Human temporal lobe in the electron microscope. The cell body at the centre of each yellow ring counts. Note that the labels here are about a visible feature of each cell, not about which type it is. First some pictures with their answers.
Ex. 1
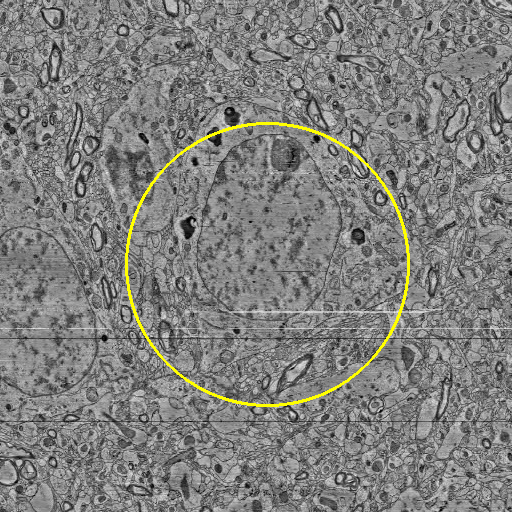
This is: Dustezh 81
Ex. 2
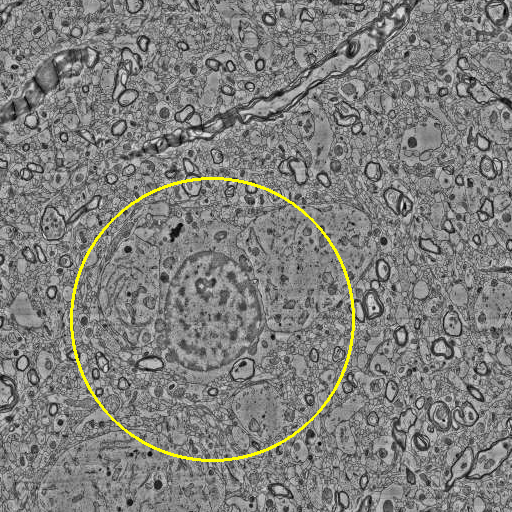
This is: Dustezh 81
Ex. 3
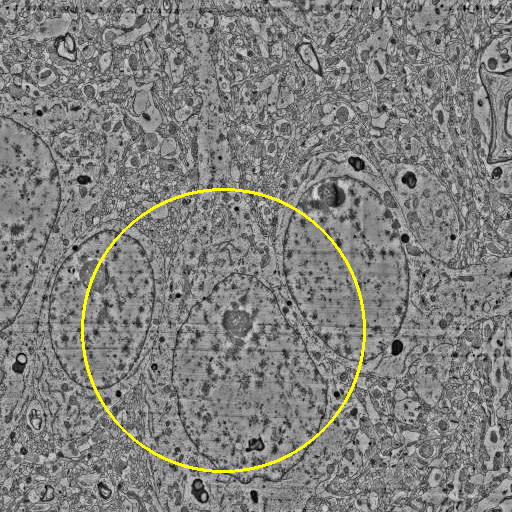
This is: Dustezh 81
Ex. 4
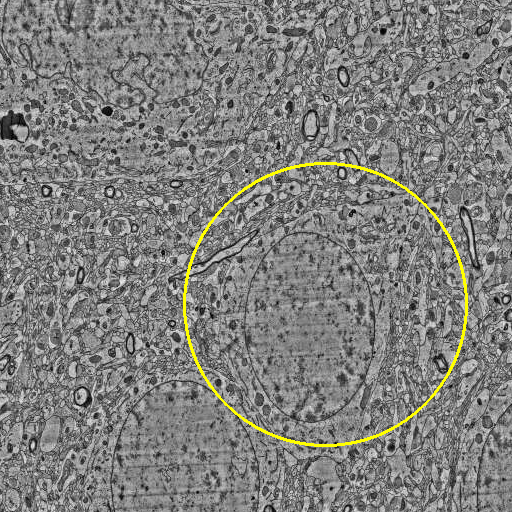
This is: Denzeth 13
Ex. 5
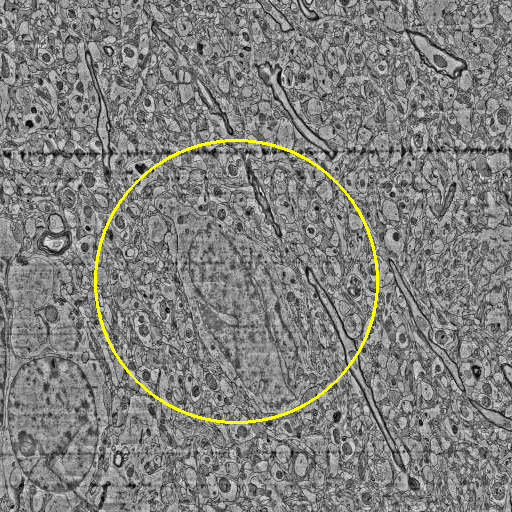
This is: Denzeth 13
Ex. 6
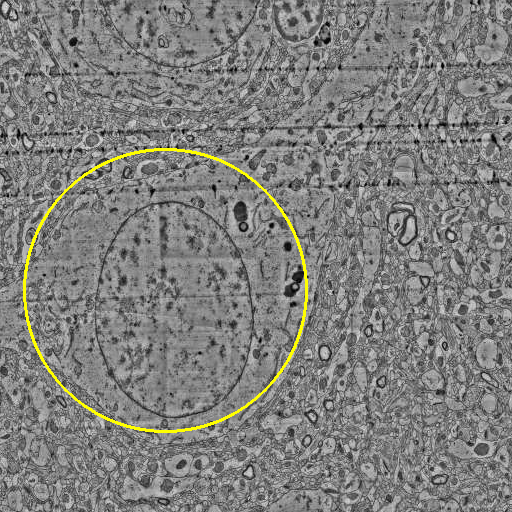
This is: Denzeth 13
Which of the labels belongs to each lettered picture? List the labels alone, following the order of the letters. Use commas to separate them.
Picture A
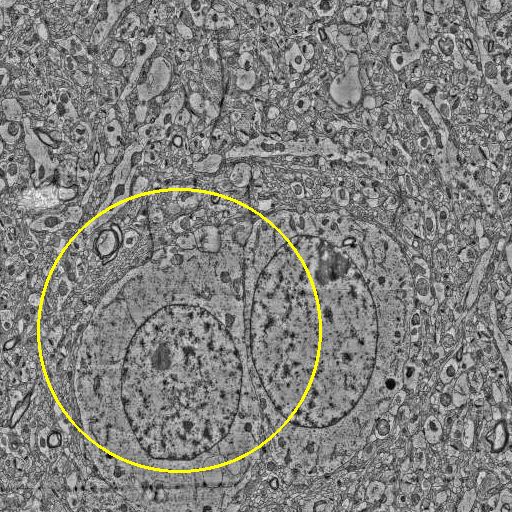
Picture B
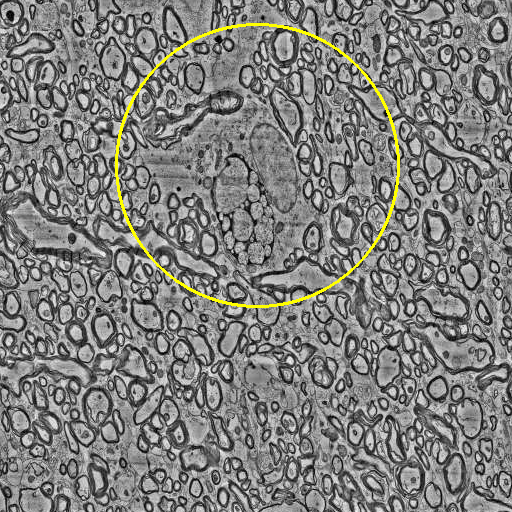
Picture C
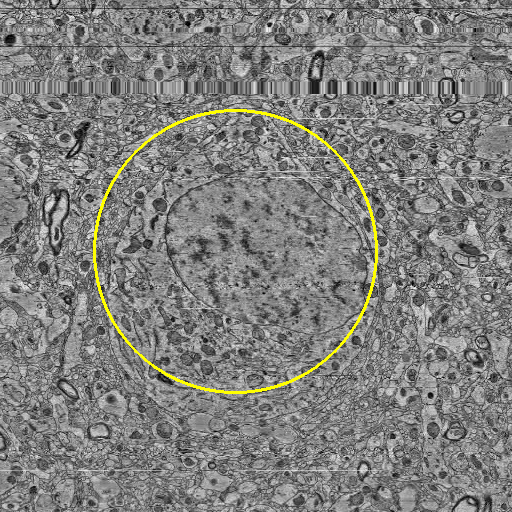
Dustezh 81, Denzeth 13, Denzeth 13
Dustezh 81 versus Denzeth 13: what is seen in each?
Seen in Dustezh 81: nucleolus seen; seen in Denzeth 13: no nucleolus seen.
